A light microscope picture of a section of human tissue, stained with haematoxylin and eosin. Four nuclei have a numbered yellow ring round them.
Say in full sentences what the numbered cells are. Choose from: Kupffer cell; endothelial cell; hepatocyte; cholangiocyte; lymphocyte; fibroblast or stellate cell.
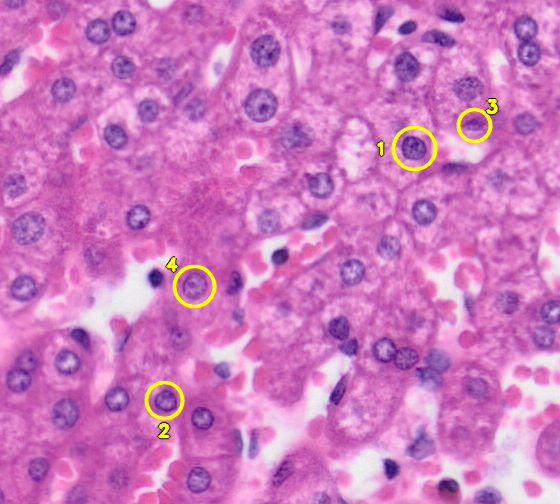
Cells 1, 2 and 4 are hepatocytes. Cell 3 is a fibroblast or stellate cell.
